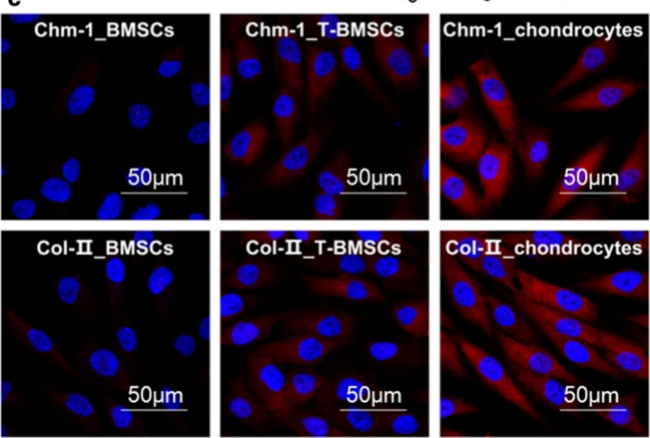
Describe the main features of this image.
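Six fluorescence fields show cultured cells, each with a single oval blue nucleus lying in a cytoplasm of variable red fluorescence. The cells are flattened and spread on the culture surface, with elongated, spindle-shaped or polygonal outlines and tapering ends. Cells lie separately or loosely touching, without forming a layered tissue. In some fields the red signal is faint and hardly outlines the cell bodies, while in others it fills the cytoplasm brightly around the nuclei and extends into the cell processes. The nuclei show no red signal and remain clearly blue.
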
